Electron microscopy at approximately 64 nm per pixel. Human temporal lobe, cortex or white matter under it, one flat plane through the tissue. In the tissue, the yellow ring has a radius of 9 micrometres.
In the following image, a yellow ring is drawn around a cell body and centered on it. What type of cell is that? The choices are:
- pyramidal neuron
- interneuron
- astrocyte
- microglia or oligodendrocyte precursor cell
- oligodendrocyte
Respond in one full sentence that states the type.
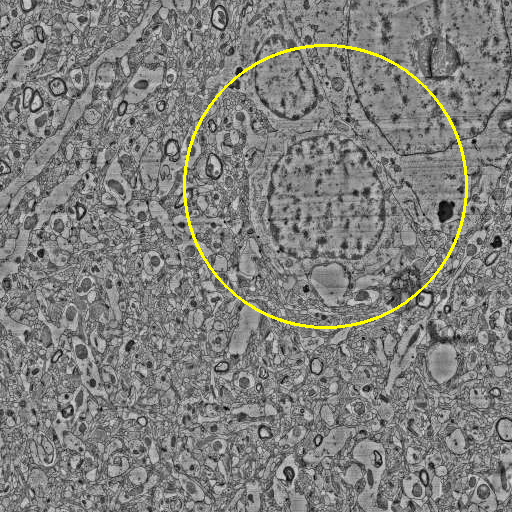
The cell at the center of the yellow ring in the image is an interneuron.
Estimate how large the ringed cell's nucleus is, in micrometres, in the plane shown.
In this plane, the nucleus measures approximately 8 micrometres across.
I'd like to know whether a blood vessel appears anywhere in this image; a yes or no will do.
No, no vessel appears in the picture.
